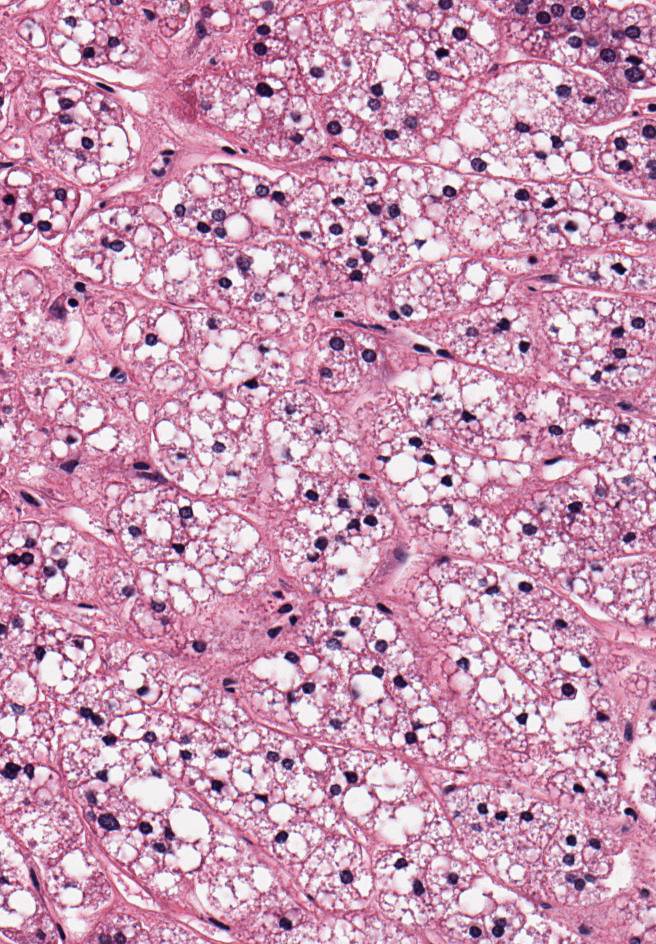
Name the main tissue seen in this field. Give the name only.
zona fasciculata of the adrenal gland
